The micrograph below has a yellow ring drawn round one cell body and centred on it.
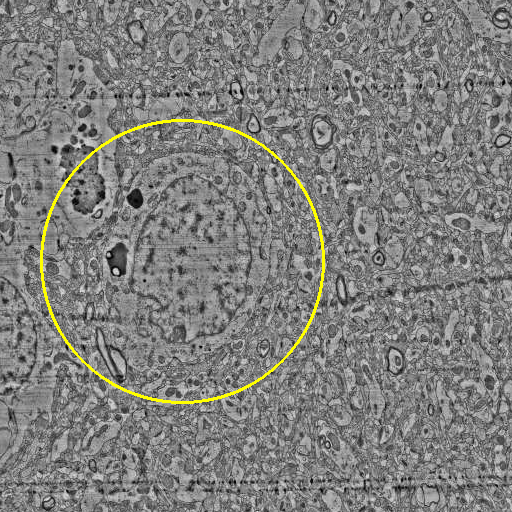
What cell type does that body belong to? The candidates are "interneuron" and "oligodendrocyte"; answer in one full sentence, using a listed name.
This is an interneuron, the cell whose body lies at the centre of the ring.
